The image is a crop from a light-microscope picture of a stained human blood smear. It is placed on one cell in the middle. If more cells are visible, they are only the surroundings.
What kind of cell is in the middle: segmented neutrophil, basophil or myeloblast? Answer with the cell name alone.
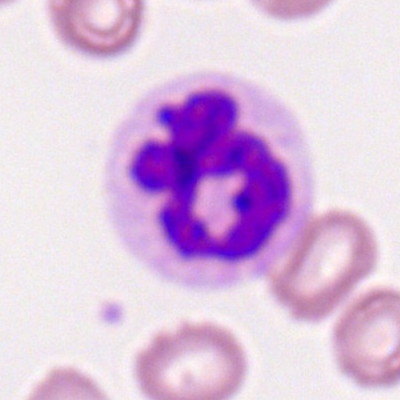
segmented neutrophil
